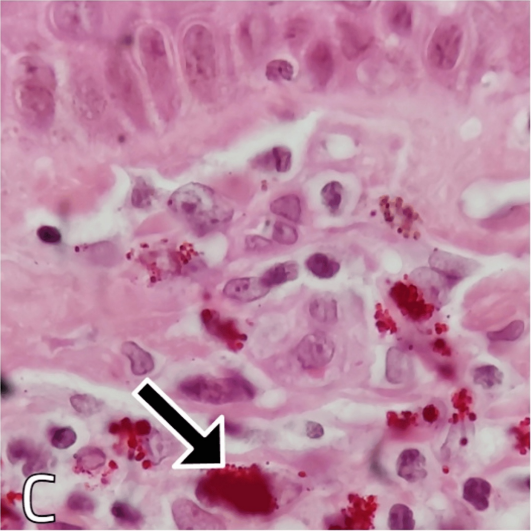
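At the top, basal keratinocytes sit in a row with oval nuclei. Just beneath, in the papillary dermis, lie mixed inflammatory cells: small round dark nuclei of lymphocytes and larger cells with paler, vesicular nuclei and ample cytoplasm, resembling histiocytes. Fine bright red granules are scattered in small clusters among these cells, and one dense red clump lies in the lower part of the field, likely within a histiocyte. Thin pink collagen strands separate the cells.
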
